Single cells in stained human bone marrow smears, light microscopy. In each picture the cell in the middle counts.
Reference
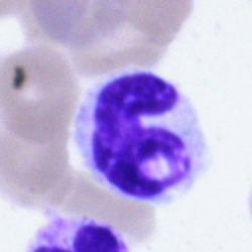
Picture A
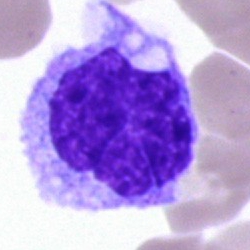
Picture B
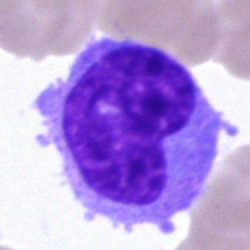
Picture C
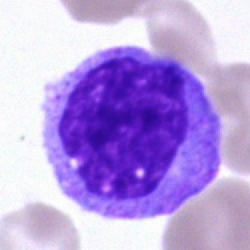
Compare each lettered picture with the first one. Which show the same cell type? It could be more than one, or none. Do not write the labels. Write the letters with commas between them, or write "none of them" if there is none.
none of them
